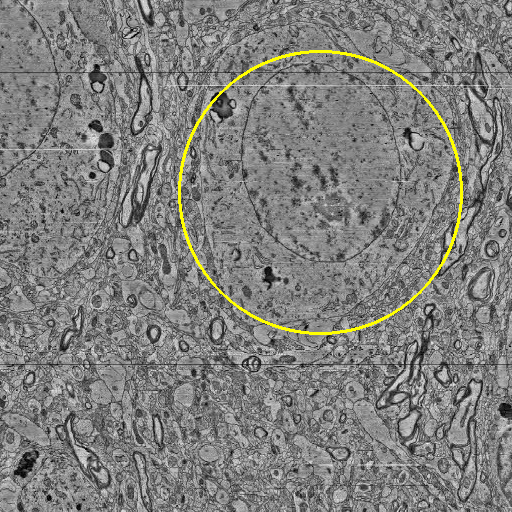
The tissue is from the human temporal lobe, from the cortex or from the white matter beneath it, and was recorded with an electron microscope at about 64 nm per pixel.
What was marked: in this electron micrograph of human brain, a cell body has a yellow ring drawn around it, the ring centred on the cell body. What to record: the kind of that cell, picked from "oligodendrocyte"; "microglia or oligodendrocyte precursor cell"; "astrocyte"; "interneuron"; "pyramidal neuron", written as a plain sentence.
The centred cell is a pyramidal neuron.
